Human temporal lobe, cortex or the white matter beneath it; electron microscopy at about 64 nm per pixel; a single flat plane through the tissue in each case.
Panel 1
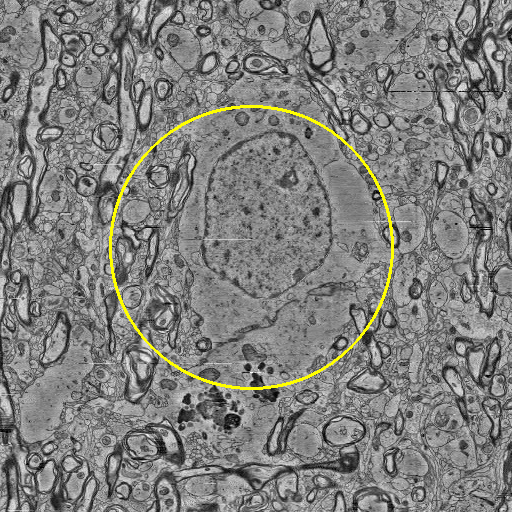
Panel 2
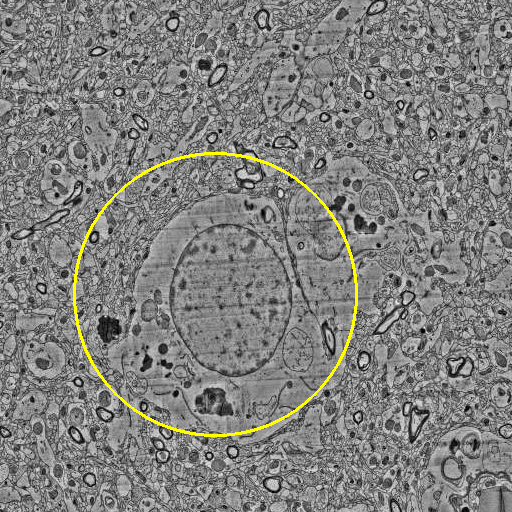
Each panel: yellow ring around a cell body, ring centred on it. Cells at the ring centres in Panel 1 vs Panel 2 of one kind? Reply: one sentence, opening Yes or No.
Yes, Panel 1 and Panel 2 have cells of one kind at the ring centres.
